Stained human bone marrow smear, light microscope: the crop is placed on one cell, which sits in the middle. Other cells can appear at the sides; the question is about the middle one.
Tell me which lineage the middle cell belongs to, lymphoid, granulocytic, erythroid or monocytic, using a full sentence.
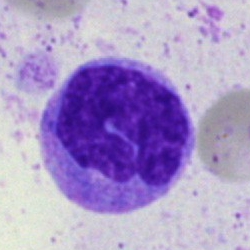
Among the lineages, the monocytic one is that of the central cell.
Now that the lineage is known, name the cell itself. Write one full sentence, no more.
In the crop, the cell of interest at the centre is a monocyte.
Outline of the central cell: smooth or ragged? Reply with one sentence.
No surface projections are present; the cell outline is smooth.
